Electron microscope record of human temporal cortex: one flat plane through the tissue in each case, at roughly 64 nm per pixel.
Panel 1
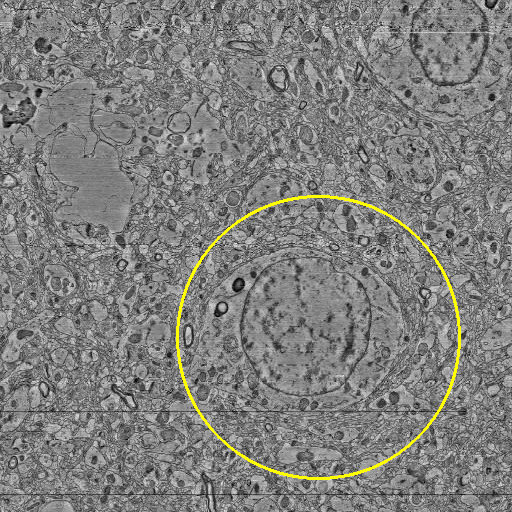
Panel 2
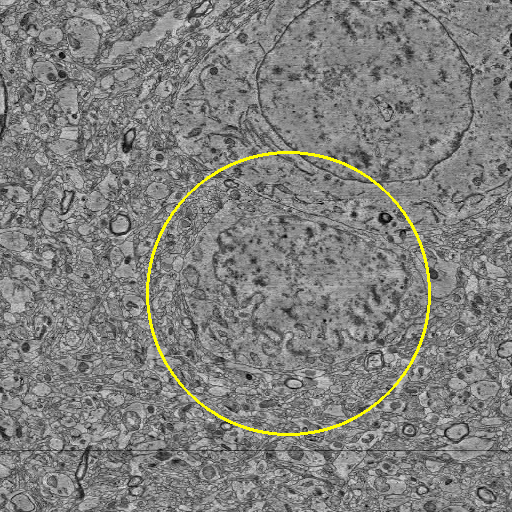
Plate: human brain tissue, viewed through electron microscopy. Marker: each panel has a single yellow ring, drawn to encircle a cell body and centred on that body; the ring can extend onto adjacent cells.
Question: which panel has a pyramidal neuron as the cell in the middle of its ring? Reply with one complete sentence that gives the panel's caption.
Panel 1 is where the requested cell sits at the centre of the ring.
